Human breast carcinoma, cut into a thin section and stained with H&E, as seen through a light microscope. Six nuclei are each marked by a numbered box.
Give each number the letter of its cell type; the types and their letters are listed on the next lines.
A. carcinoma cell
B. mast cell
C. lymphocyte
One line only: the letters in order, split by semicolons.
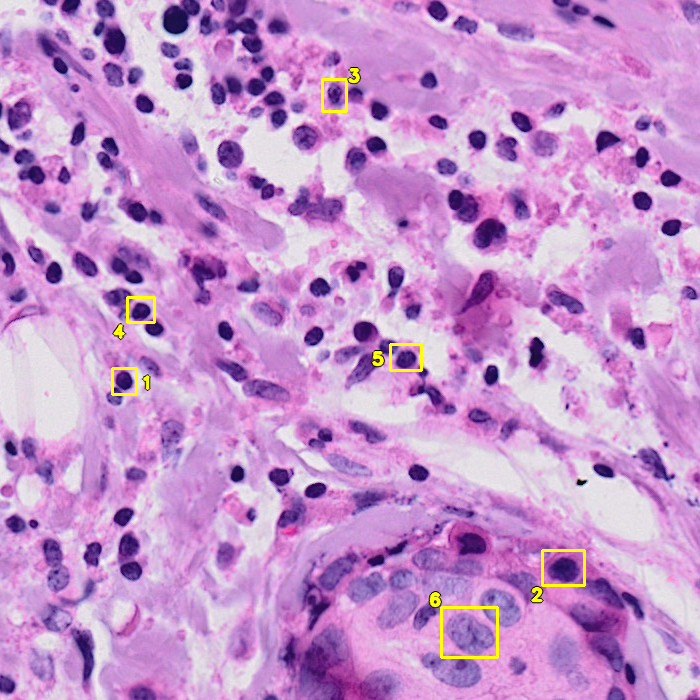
C; A; C; C; C; A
